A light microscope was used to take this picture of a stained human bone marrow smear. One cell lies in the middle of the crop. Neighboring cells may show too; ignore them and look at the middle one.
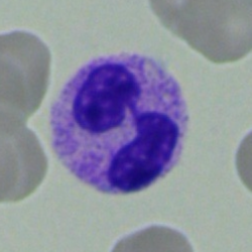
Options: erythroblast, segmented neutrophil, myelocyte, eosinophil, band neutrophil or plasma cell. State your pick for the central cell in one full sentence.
Classified as a segmented neutrophil is the cell in the middle of this crop.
